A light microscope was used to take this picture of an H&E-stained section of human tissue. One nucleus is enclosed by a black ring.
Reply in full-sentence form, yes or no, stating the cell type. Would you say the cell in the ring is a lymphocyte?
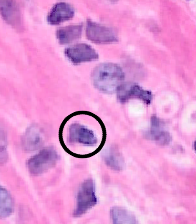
Yes, it is a lymphocyte that the cell in the ring is.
